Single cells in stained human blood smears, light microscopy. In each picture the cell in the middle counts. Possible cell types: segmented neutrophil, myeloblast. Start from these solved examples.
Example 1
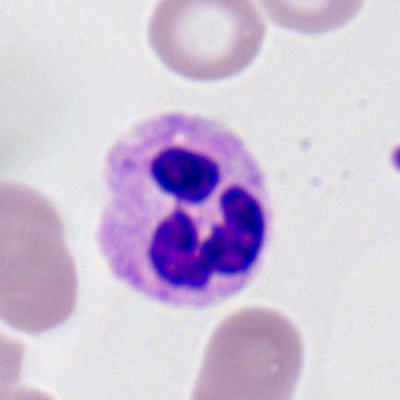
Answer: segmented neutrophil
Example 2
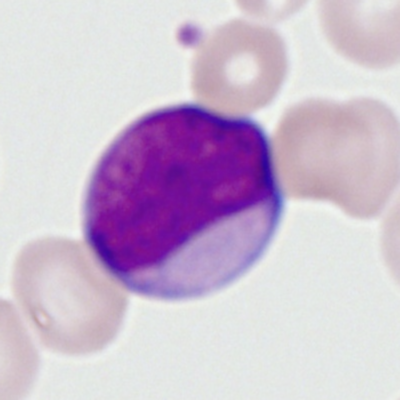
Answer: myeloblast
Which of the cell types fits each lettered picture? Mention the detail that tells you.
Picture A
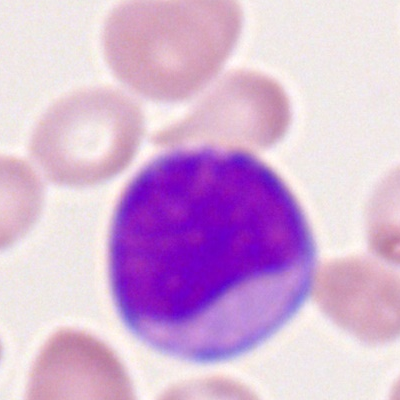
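myeloblast: The nucleus fills most of the cell.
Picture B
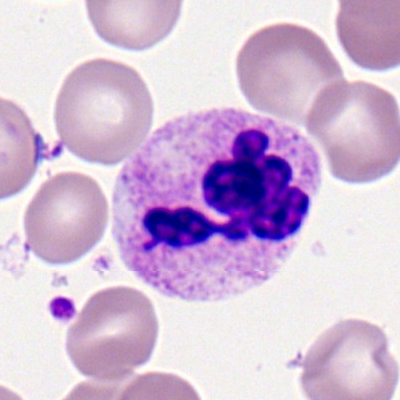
segmented neutrophil: The cytoplasm is abundant and pale pinkish-lilac.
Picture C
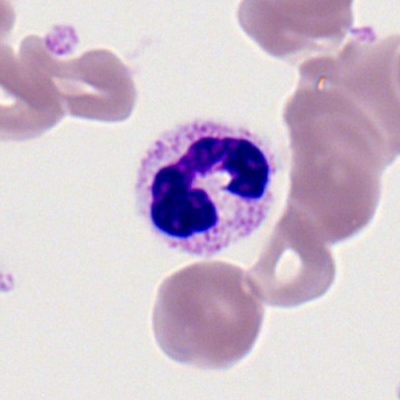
segmented neutrophil: Pale pinkish cytoplasm surrounds the nucleus on all sides.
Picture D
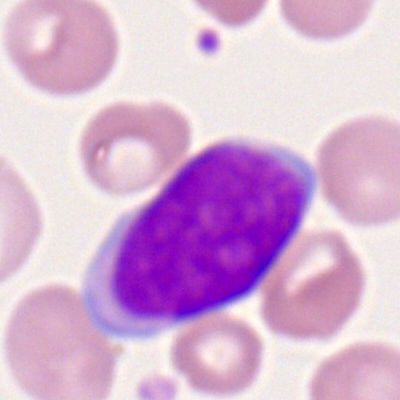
myeloblast: The cytoplasm forms only a thin rim that is widest at the lower left.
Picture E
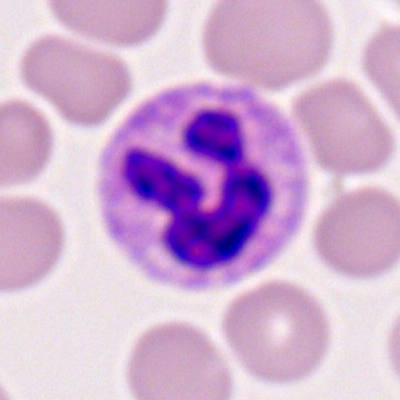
segmented neutrophil: The cytoplasm is plentiful and pale lilac-pink.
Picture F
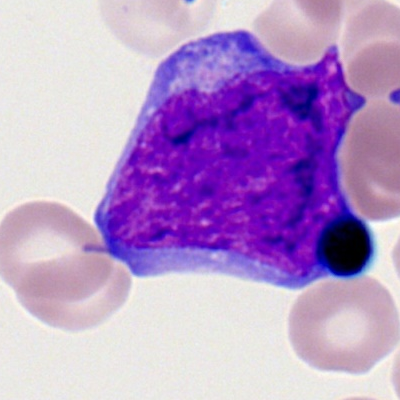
myeloblast: The nucleus is a single unlobed mass filling most of the cell.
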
